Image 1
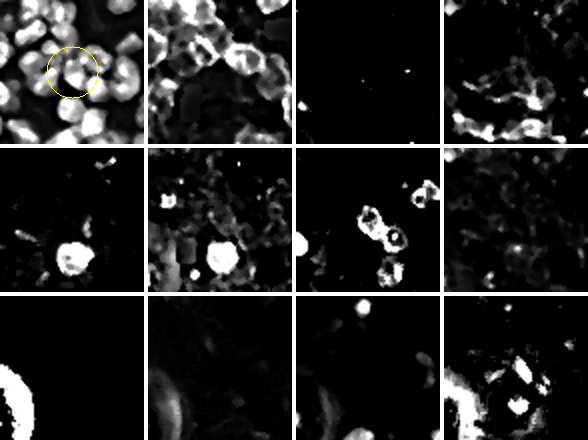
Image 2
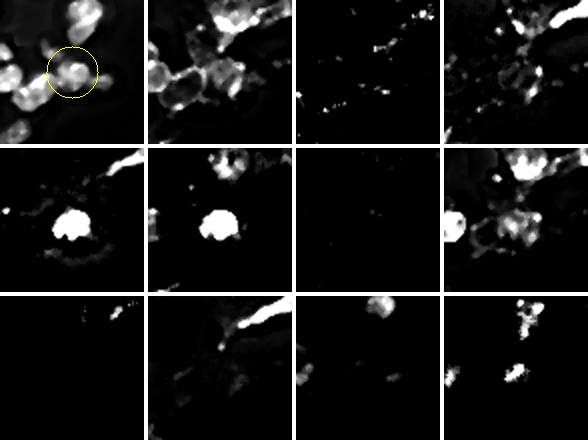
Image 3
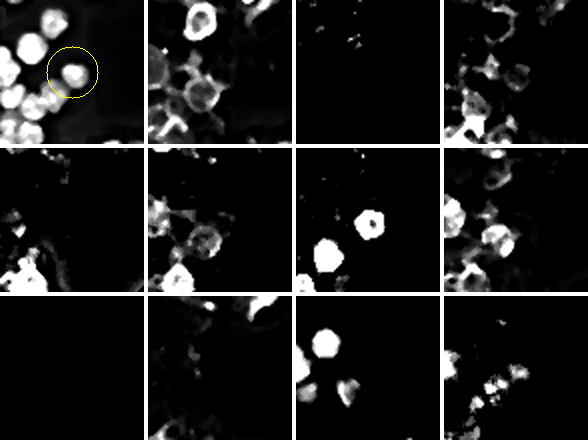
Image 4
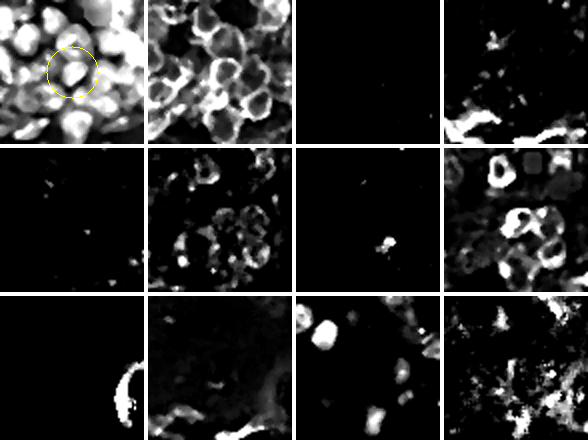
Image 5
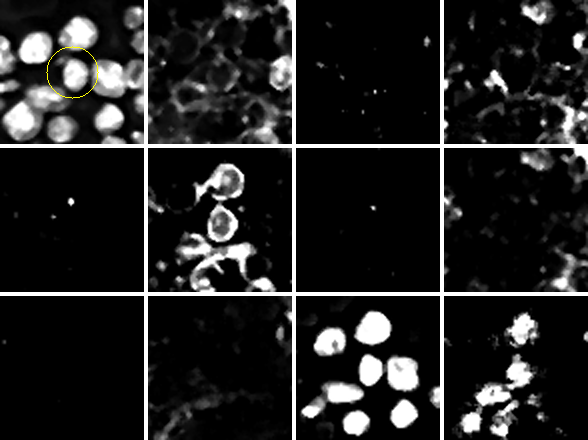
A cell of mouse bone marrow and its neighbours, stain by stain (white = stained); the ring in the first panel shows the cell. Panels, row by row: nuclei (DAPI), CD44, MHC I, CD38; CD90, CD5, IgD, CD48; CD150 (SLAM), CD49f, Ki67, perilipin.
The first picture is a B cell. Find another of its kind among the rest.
Picture 3.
